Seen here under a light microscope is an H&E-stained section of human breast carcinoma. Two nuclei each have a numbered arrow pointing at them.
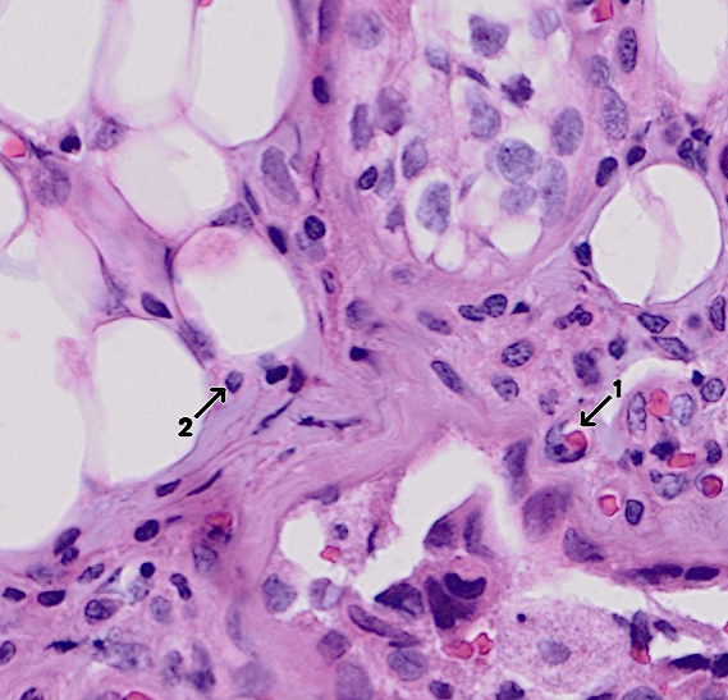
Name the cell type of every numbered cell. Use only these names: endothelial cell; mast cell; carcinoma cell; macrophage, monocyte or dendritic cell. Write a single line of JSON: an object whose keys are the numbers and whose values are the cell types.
{"1": "endothelial cell", "2": "mast cell"}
